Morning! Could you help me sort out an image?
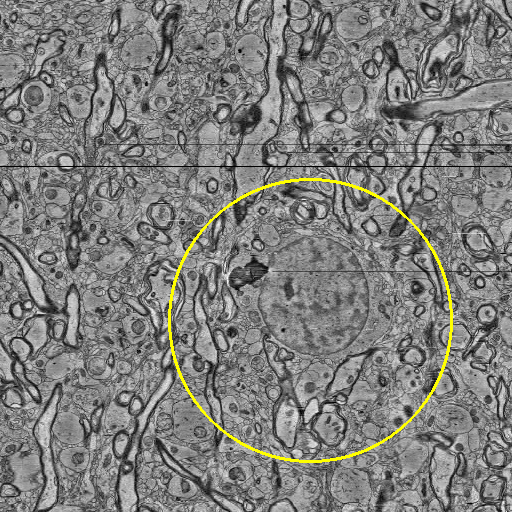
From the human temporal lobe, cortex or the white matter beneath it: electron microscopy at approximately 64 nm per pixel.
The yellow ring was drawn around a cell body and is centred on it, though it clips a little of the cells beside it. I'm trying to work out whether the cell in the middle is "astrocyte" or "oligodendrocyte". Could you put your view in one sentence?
The ringed cell body is that of an oligodendrocyte.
